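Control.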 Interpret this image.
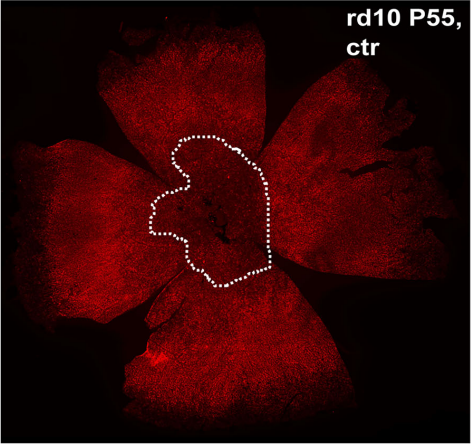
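This is a whole retina flattened out and cut radially into four petal-like lobes that meet at the centre. Around the centre an irregular region is distinctly darker, with only scattered red, and a white dotted line traces its border. A small dark gap lies near the middle, where the lobes converge. The dim central zone marks the part of the retina where the red-stained cells have been lost, the degenerated area, while the periphery is still populated.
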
